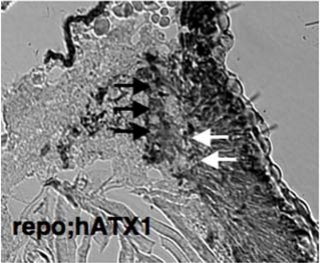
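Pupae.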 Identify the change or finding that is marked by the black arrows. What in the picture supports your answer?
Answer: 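Remarkably deformed. The arrowed regions form an irregular dark mass instead of a curved, striated band.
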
